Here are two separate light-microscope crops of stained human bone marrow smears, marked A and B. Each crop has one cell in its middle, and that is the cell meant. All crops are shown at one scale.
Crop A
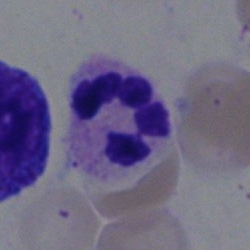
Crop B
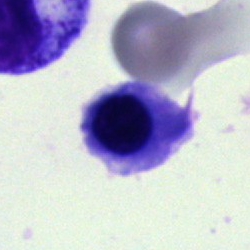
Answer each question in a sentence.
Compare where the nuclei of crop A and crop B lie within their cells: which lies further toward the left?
The nucleus in crop B lies further toward the left of its cell.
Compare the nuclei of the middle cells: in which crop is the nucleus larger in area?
The nucleus in crop A is larger, with about 1.5 times the area of the one in crop B.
